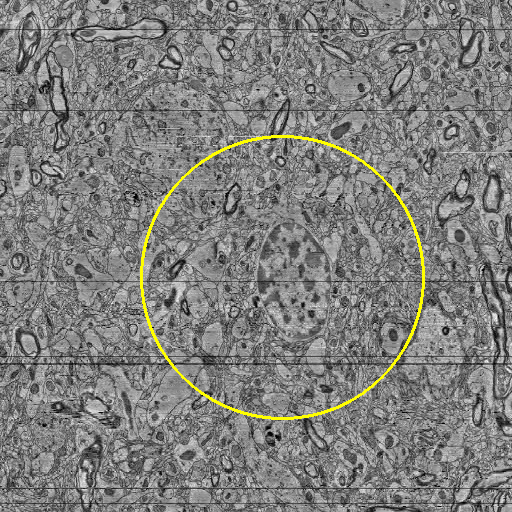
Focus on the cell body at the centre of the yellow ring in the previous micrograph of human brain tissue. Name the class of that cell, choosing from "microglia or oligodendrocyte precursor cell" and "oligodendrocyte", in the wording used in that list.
microglia or oligodendrocyte precursor cell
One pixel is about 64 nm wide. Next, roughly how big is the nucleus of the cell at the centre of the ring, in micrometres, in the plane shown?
Clearly longer than it is wide in this plane, the nucleus measures roughly 8 by 5 micrometres.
